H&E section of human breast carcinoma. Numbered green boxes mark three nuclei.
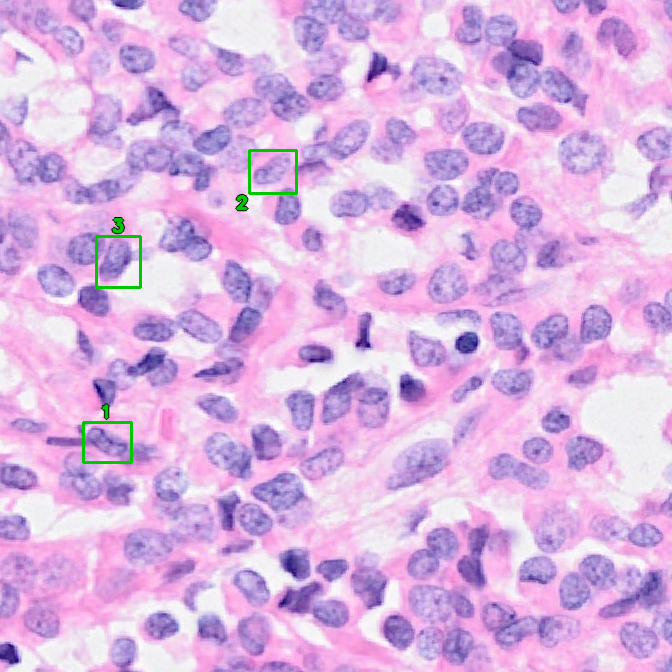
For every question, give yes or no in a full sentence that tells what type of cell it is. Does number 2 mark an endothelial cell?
No, the cell bearing number 2 is not an endothelial cell but a carcinoma cell.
